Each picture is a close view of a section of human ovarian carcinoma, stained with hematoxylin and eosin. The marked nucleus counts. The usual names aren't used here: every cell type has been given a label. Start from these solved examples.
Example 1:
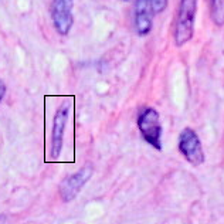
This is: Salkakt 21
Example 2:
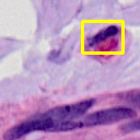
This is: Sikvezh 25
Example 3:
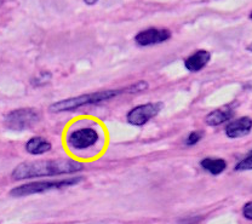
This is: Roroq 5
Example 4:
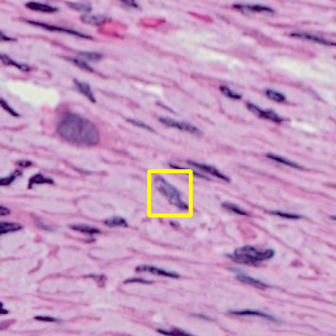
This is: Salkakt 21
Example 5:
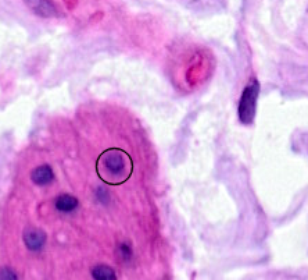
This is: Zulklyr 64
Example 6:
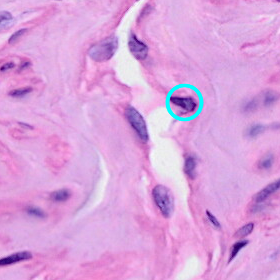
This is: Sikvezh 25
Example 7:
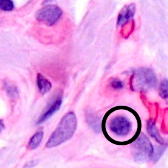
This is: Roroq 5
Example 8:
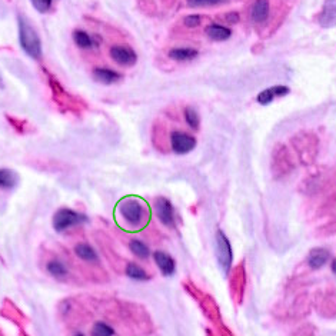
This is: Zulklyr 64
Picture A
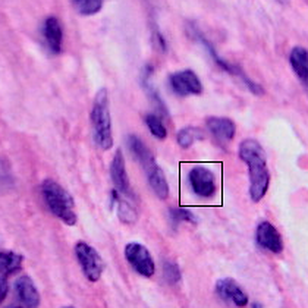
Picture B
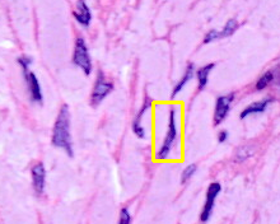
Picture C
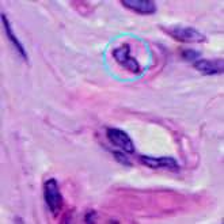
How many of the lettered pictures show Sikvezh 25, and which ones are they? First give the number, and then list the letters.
1, namely C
